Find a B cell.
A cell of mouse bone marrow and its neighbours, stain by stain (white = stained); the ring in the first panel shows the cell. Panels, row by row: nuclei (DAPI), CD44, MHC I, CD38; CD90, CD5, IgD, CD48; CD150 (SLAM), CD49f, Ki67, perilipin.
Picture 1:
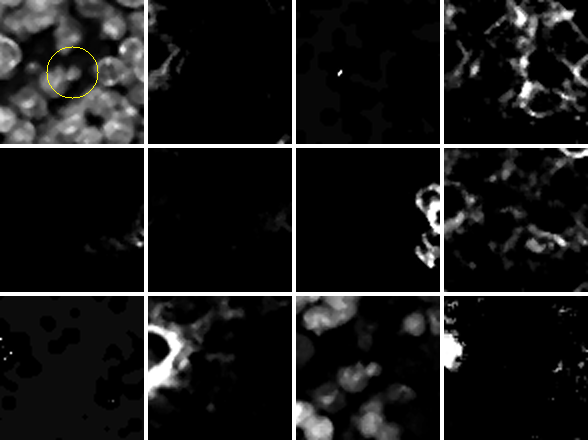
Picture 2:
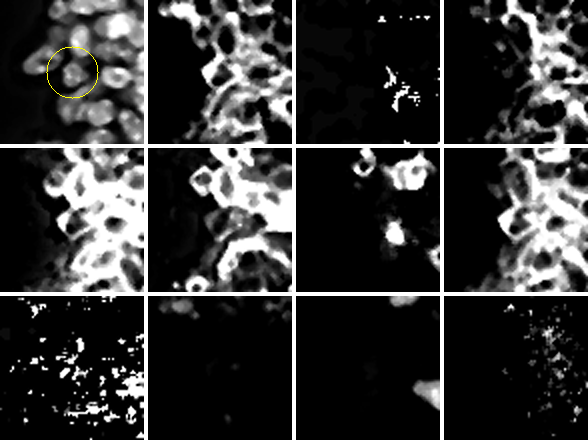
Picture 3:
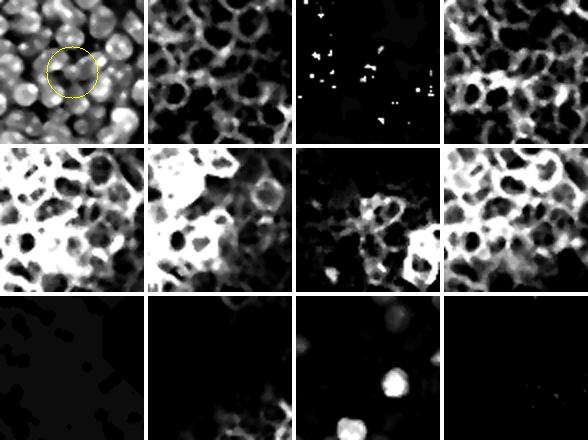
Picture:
3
